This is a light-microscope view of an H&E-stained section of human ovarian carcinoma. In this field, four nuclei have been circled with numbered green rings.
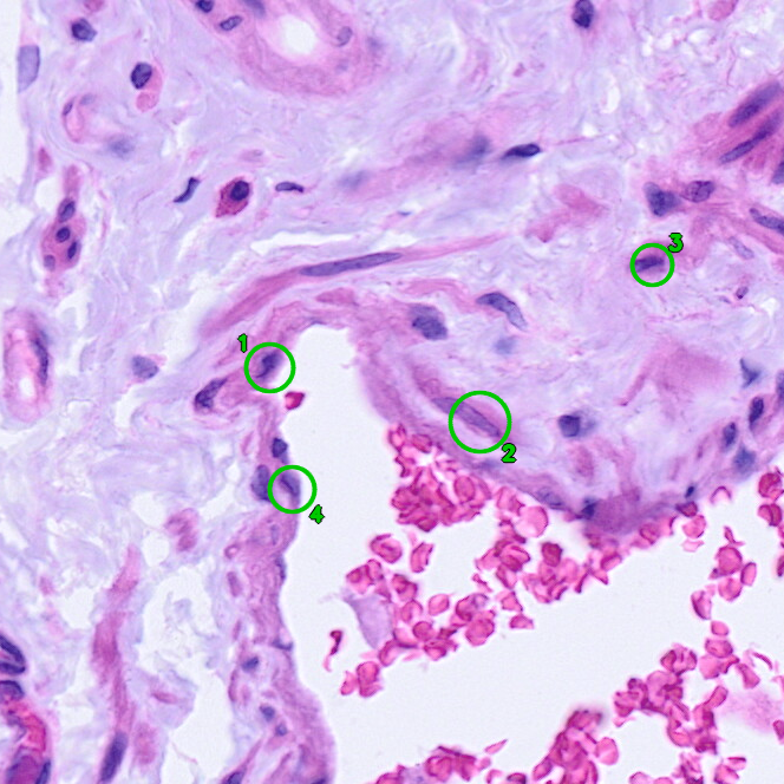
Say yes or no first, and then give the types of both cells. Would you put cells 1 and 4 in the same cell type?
Yes, both cells, 1 and 4, are endothelial cells.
